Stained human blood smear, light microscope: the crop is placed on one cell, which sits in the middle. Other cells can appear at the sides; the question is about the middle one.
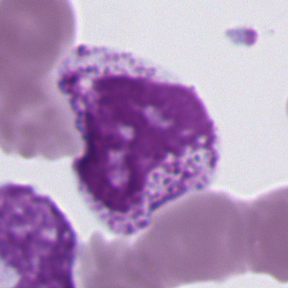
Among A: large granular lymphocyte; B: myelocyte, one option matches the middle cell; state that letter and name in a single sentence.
What option B states is correct, the central cell being a myelocyte.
